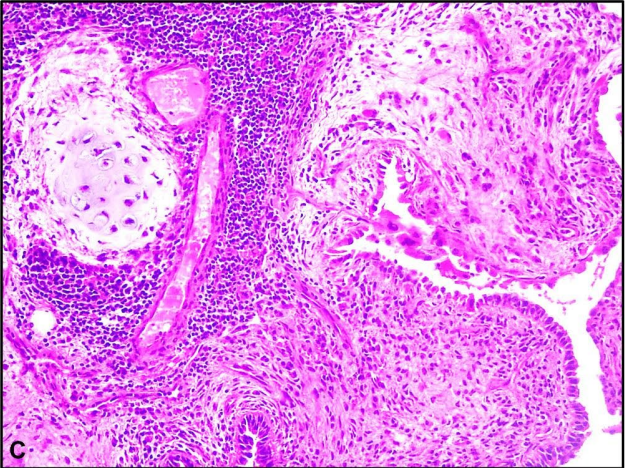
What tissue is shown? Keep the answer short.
Chondroid components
